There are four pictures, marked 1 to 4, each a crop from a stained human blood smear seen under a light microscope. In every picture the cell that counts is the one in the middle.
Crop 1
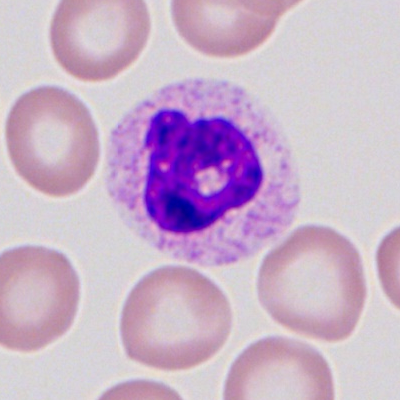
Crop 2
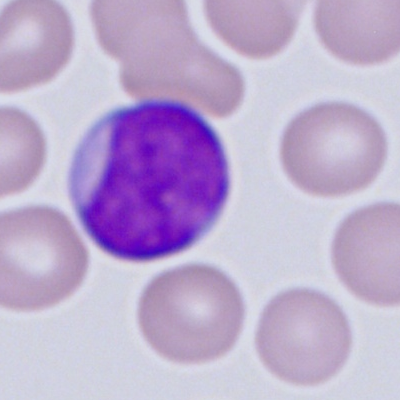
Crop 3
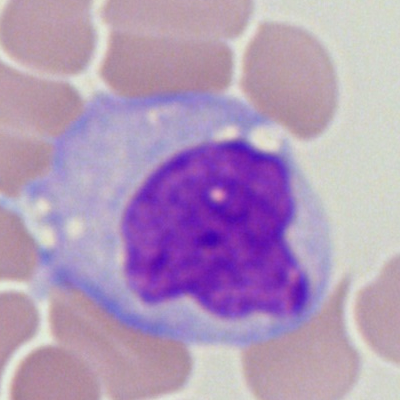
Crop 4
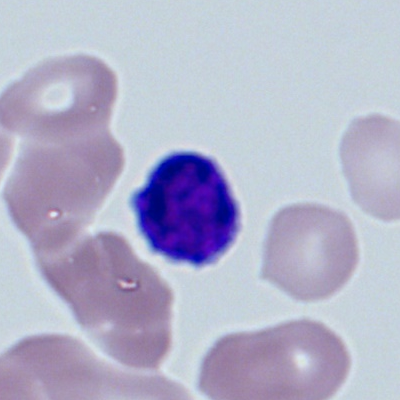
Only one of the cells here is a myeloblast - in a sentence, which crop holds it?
The cell at the center of crop 2 is the one that is a myeloblast.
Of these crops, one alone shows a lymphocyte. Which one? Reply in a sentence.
When the crops are compared, crop 4 is the one showing a lymphocyte.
